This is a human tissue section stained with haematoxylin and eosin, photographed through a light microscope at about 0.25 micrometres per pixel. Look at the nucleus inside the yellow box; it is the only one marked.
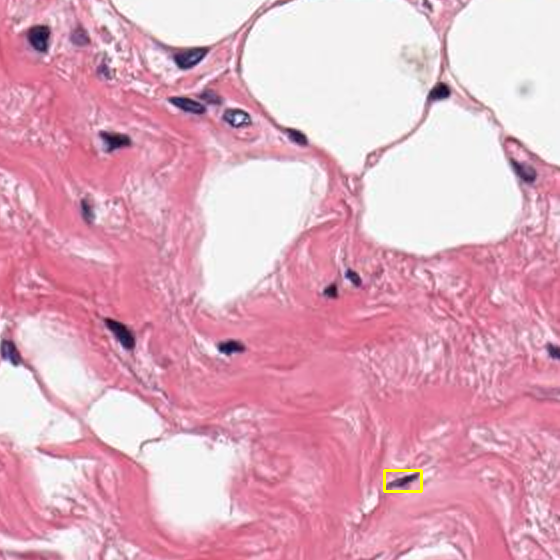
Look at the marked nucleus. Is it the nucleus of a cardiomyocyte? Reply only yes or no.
no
